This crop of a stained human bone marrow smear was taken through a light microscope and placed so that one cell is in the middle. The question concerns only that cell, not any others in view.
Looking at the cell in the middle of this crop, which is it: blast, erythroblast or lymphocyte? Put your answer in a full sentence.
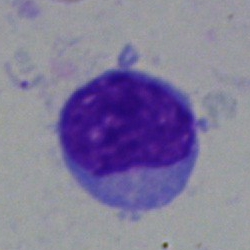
At the center of the crop sits a blast.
